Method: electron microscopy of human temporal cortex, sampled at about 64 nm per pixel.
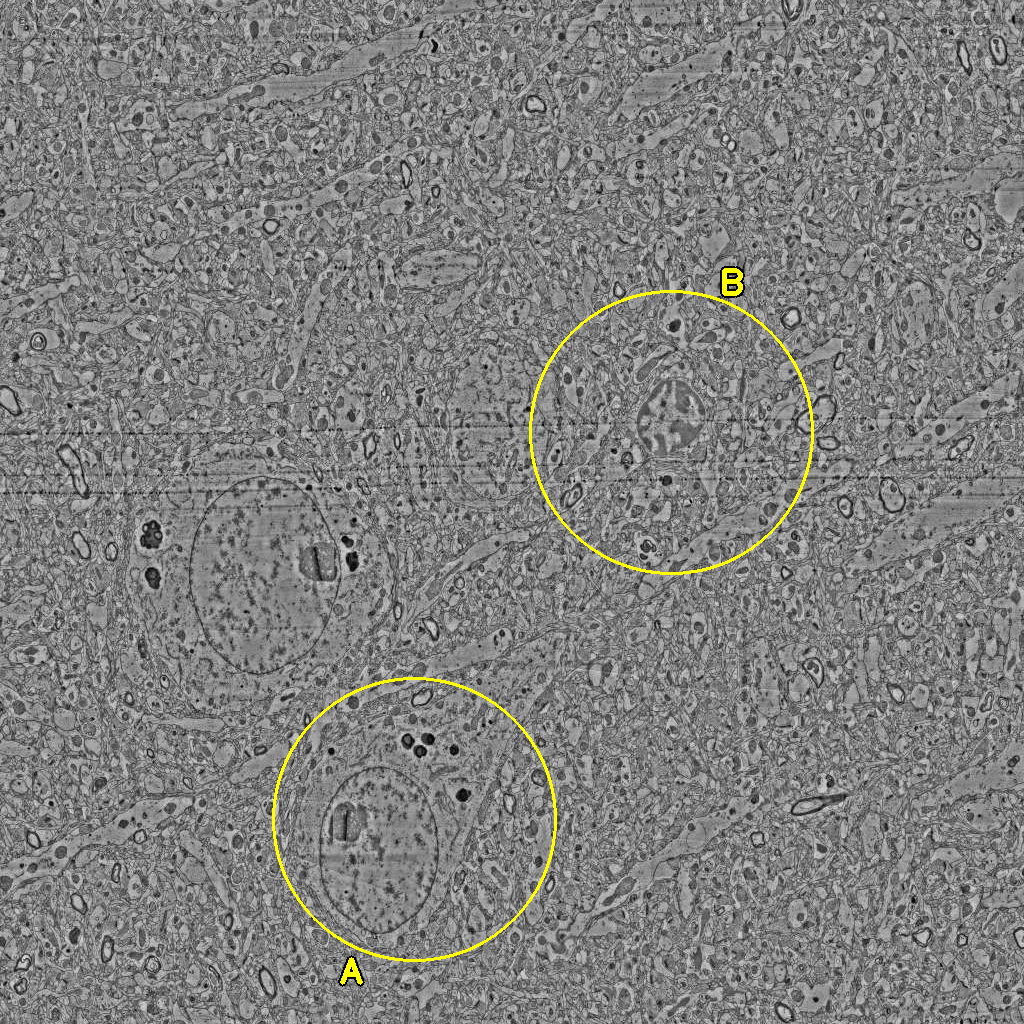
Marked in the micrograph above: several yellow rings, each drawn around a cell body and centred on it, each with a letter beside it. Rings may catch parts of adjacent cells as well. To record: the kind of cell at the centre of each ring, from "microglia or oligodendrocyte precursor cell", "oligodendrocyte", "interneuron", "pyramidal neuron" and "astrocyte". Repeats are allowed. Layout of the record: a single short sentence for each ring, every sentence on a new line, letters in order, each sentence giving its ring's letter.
At the centre of ring A lies a pyramidal neuron.
At the centre of ring B lies a microglial cell or oligodendrocyte precursor cell.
